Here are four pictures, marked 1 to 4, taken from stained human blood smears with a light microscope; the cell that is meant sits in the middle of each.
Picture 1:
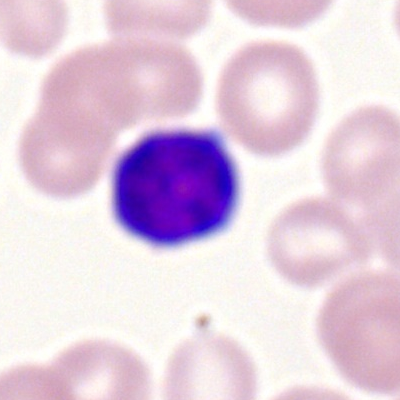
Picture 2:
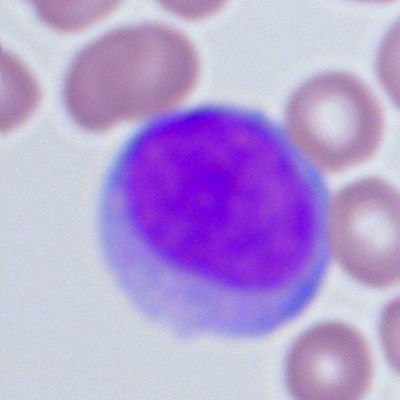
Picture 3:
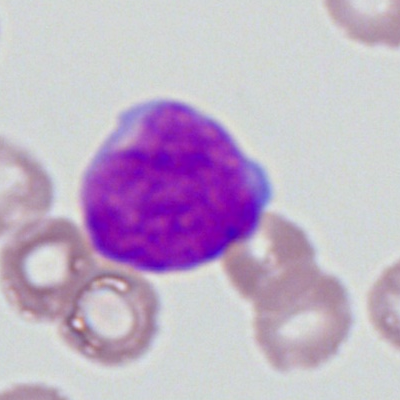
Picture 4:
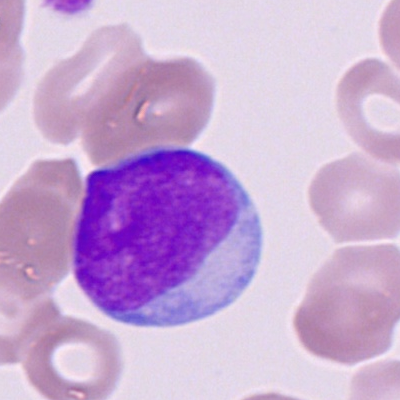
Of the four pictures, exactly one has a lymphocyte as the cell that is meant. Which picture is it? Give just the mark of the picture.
1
